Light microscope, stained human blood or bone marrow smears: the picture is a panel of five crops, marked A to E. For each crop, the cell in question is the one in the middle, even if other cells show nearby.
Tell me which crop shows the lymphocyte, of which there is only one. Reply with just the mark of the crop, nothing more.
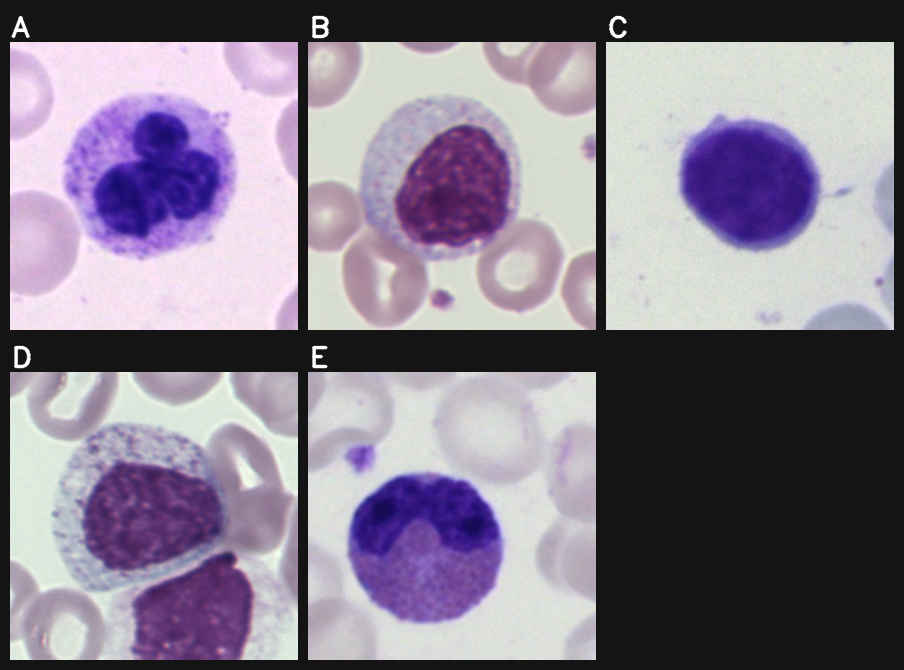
C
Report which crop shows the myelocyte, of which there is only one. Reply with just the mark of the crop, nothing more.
D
